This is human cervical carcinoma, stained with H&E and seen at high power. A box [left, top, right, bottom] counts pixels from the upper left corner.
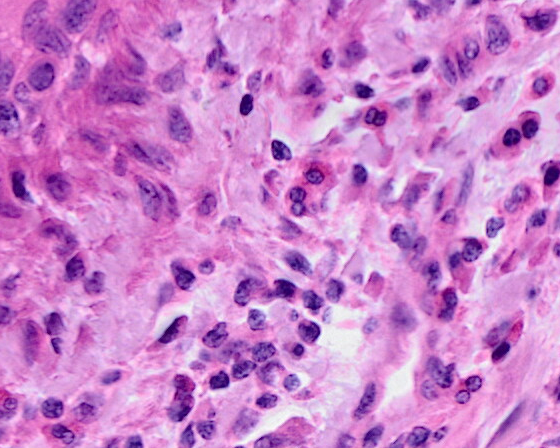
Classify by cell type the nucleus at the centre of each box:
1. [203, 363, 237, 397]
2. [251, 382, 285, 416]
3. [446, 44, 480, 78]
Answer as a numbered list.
1. lymphocyte
2. lymphocyte
3. endothelial cell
